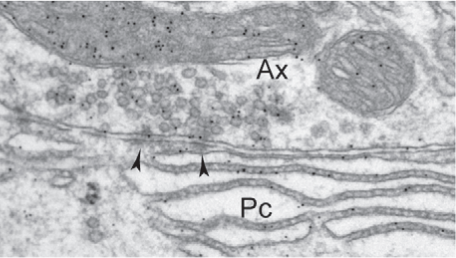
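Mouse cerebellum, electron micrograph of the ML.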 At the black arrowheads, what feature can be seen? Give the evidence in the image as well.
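The arrowheads point to a contact between a vesicle-filled terminal and the dendrite below it. Pre- and postsynaptic membranes at the contact show thin densities of similar thickness. The terminal above is full of small round vesicles.
Hence: conventional, symmetric synapses.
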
